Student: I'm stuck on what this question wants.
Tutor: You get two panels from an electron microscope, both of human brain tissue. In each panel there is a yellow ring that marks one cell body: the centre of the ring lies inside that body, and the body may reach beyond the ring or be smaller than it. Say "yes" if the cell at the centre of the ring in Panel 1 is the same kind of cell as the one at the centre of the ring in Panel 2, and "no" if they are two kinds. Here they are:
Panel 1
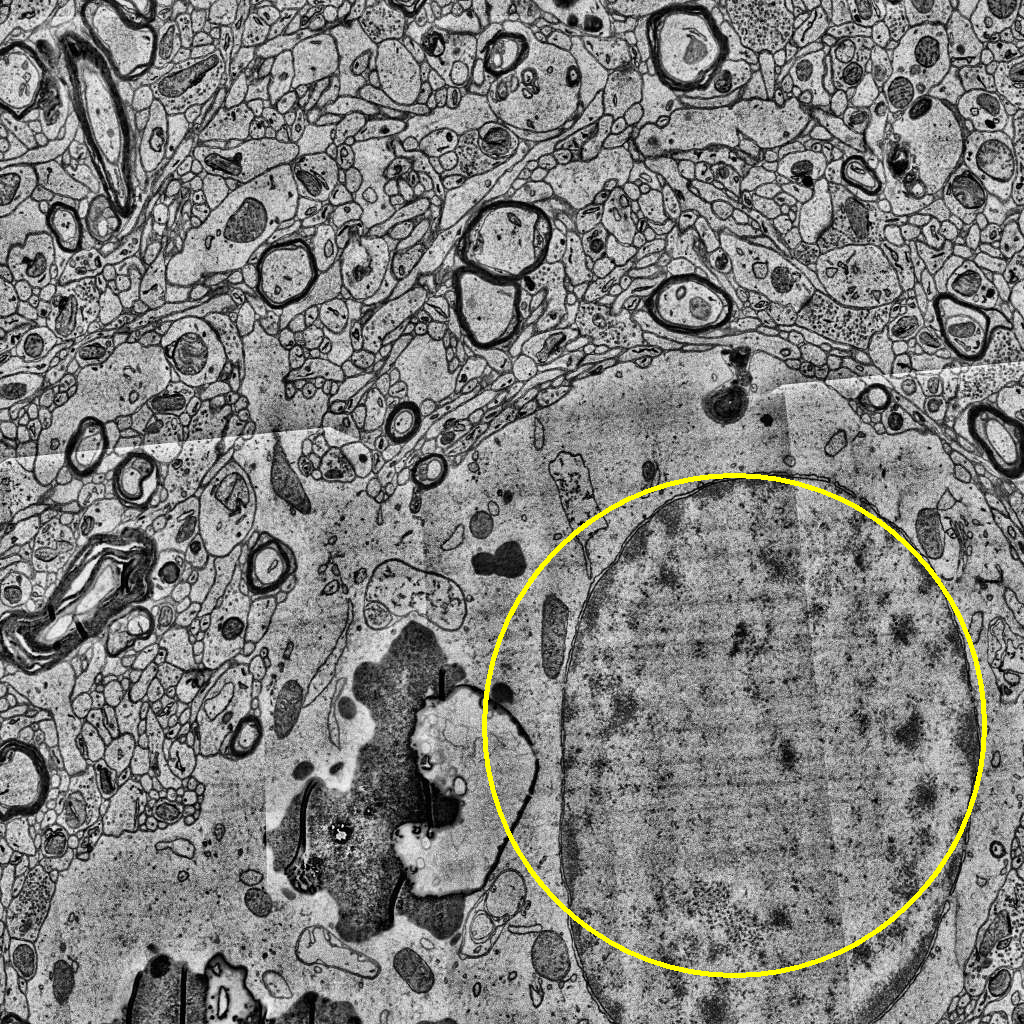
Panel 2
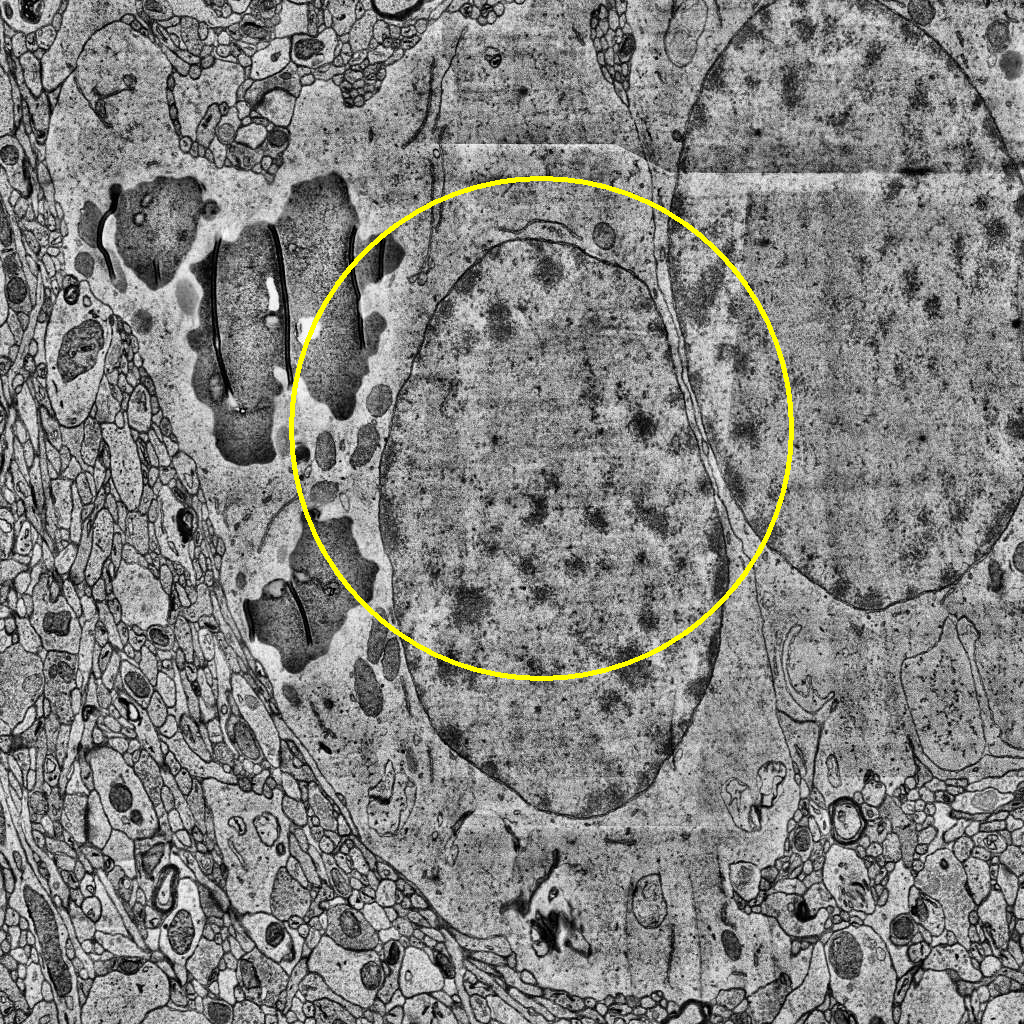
yes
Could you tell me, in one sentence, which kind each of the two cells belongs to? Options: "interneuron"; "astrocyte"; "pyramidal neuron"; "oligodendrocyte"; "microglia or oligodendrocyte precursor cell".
Both rings mark an astrocyte, one in each picture.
